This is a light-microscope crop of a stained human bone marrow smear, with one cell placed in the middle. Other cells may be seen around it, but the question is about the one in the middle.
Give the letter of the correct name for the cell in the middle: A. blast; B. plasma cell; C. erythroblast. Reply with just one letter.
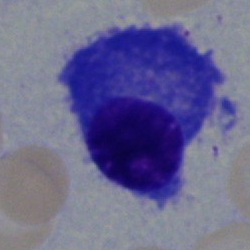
B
